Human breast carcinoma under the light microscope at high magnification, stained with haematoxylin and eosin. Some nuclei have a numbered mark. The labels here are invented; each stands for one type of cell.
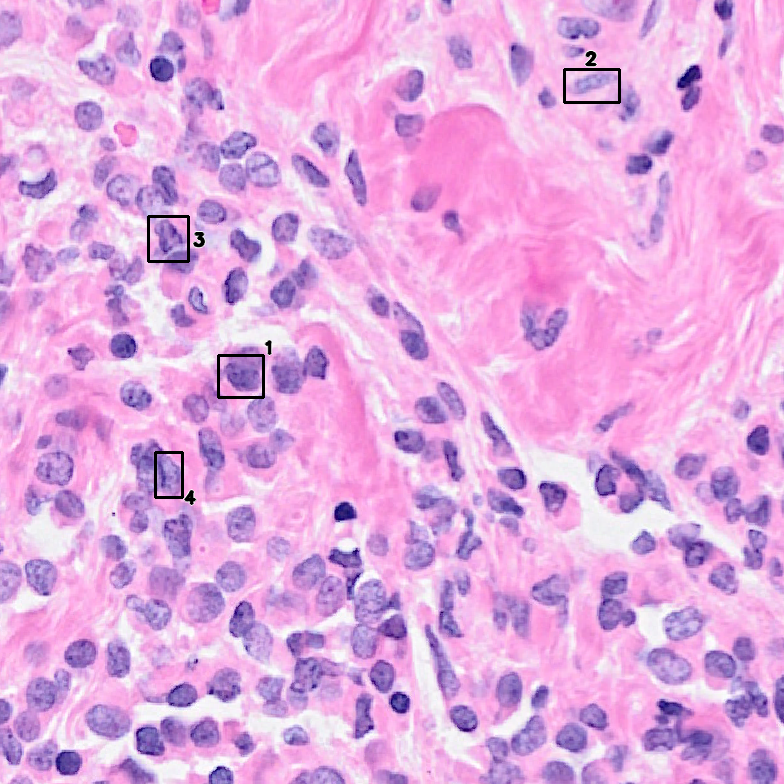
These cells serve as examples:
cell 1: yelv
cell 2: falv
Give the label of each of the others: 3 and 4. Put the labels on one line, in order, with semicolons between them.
yelv; yelv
